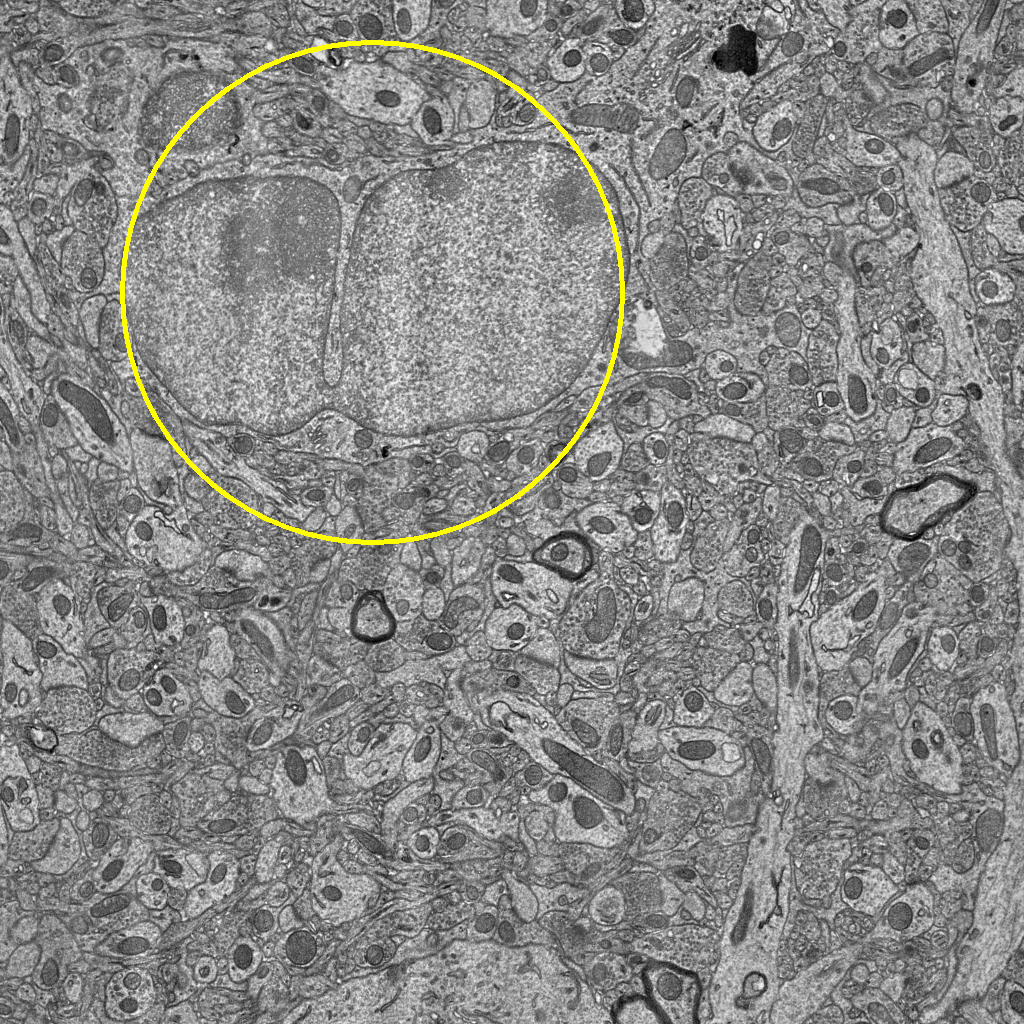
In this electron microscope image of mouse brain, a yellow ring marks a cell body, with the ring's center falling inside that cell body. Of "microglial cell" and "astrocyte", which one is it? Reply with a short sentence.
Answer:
It is an astrocyte at the center of the ring.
